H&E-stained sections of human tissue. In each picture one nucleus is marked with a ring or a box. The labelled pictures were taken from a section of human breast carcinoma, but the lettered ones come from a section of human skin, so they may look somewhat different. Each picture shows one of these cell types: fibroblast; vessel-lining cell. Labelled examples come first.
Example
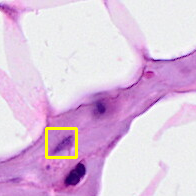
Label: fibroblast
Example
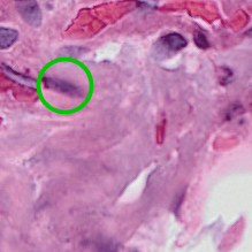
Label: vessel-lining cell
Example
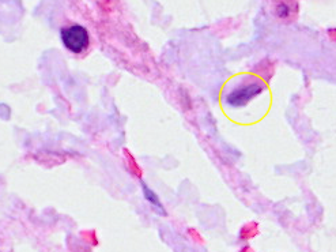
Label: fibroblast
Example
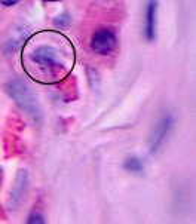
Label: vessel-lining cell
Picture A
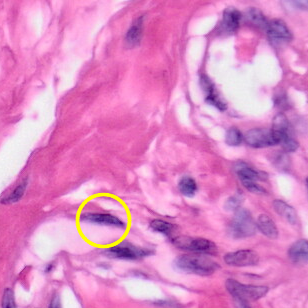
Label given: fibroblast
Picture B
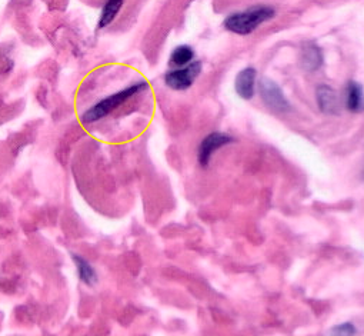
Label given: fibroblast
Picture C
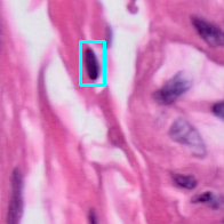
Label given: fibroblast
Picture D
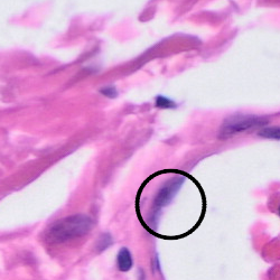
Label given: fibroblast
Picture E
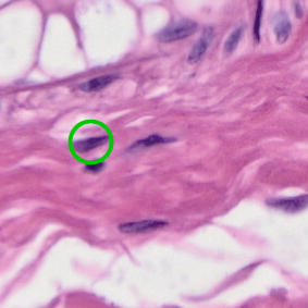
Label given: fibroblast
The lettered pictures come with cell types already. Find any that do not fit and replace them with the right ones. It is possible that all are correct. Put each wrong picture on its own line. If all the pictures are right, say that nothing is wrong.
Wrong: A (fibroblast); correct: vessel-lining cell
Wrong: D (fibroblast); correct: vessel-lining cell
